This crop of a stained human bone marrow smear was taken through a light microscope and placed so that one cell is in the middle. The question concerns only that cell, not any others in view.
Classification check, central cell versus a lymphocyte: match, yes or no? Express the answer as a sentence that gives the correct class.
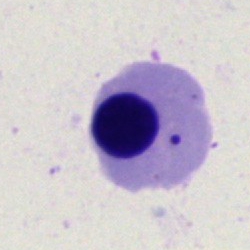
No, the cell in the middle is a normoblast, not a lymphocyte.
